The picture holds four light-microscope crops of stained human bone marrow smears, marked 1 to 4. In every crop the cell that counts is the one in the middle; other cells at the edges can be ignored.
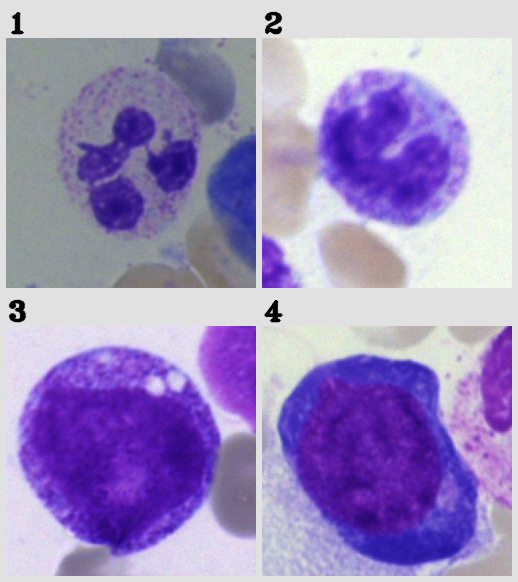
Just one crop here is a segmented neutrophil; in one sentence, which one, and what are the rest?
Crop 1 is where a segmented neutrophil is shown, whereas crop 2 is a band neutrophil, crop 3 is a promyelocyte and crop 4 is a proerythroblast.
